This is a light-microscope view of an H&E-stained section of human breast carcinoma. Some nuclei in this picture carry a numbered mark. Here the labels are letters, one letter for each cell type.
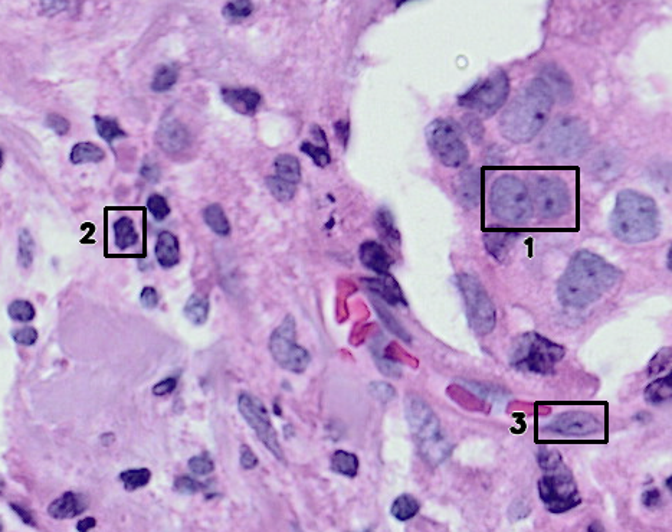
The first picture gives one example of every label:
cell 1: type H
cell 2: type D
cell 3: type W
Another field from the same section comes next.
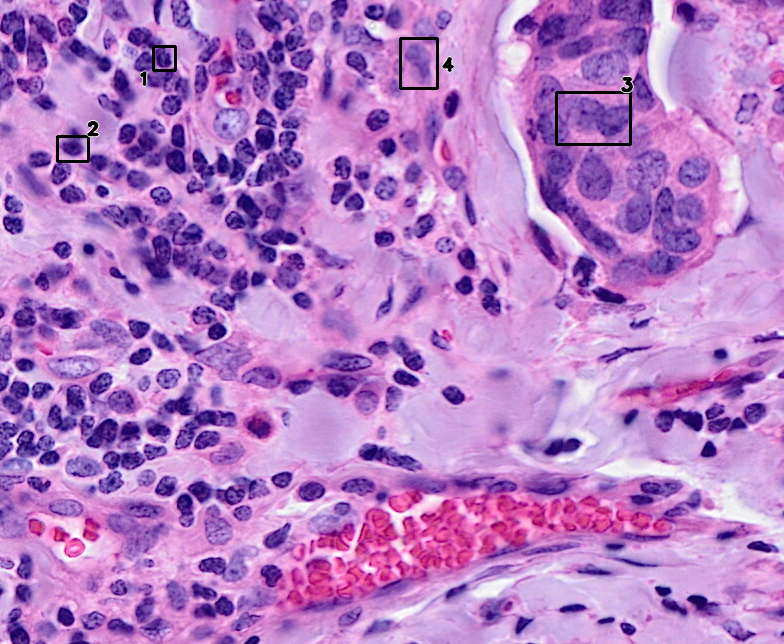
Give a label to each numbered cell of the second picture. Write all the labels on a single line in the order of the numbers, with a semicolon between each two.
type D; type D; type H; type W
